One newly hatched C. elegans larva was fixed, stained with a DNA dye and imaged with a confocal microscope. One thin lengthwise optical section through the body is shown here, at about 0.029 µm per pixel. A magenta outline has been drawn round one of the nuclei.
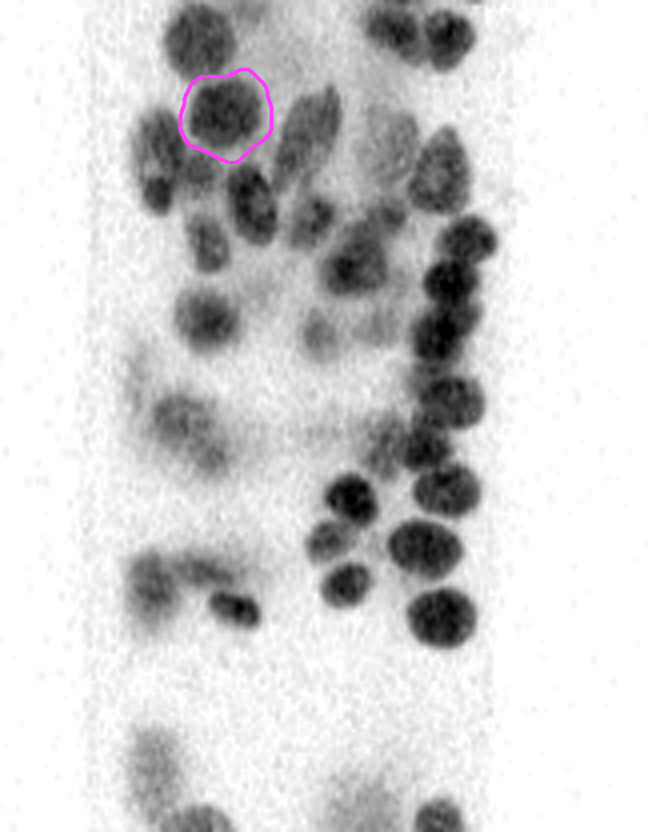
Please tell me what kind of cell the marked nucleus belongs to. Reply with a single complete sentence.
The marked cell is a neuron.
